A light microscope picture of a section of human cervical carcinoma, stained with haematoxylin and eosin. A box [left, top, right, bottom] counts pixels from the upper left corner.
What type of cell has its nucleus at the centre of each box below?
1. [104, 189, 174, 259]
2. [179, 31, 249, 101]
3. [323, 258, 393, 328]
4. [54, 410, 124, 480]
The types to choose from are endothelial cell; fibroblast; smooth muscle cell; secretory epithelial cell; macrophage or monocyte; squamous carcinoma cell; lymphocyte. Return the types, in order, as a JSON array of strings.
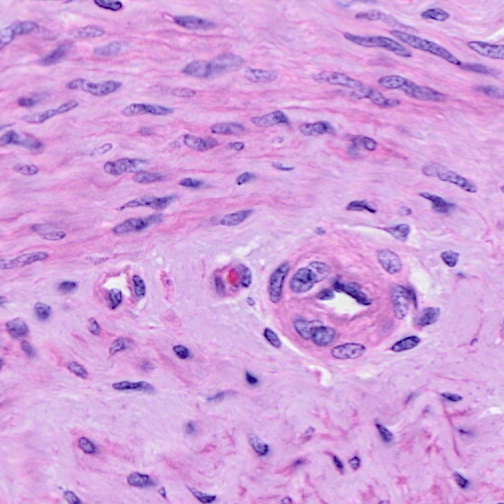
["smooth muscle cell", "smooth muscle cell", "endothelial cell", "smooth muscle cell"]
